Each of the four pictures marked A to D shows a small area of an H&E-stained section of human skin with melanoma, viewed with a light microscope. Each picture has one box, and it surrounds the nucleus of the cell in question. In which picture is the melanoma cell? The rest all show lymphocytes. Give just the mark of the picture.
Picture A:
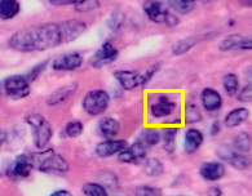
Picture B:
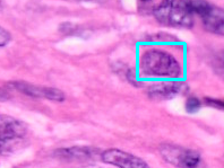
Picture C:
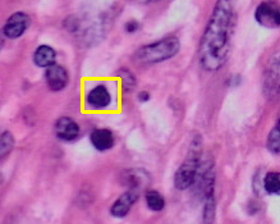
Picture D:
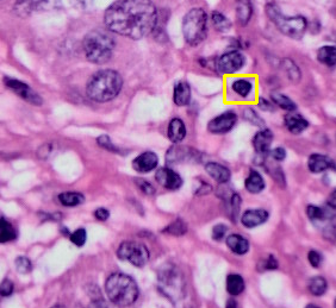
B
